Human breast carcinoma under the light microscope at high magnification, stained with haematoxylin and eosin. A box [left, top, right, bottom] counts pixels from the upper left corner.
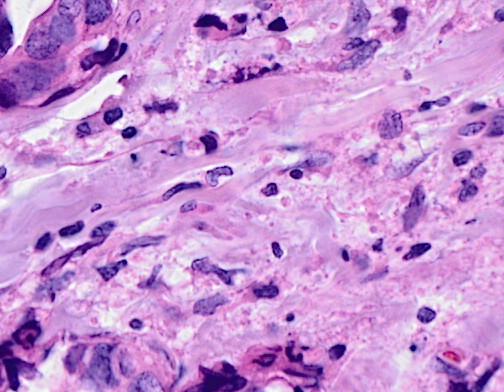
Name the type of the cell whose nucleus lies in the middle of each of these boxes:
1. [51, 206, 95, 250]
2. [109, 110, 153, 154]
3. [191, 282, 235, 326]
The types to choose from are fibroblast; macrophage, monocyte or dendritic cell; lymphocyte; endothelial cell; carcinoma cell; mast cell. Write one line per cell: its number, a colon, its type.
1: lymphocyte
2: lymphocyte
3: macrophage, monocyte or dendritic cell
